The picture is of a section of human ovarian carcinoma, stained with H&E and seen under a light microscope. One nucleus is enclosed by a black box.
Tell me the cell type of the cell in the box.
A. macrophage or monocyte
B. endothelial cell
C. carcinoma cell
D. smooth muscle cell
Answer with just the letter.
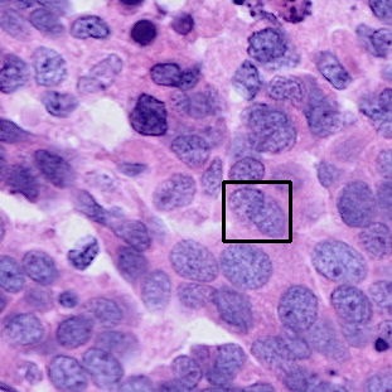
C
